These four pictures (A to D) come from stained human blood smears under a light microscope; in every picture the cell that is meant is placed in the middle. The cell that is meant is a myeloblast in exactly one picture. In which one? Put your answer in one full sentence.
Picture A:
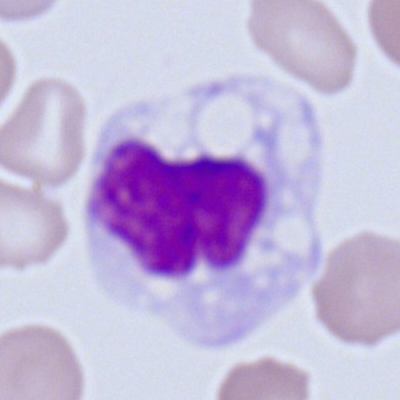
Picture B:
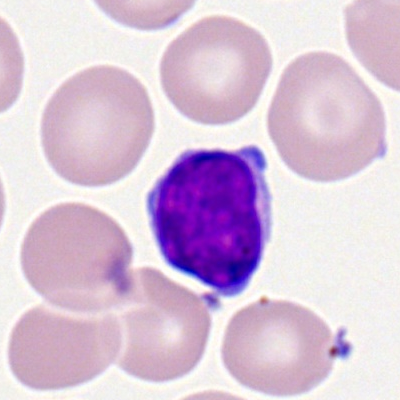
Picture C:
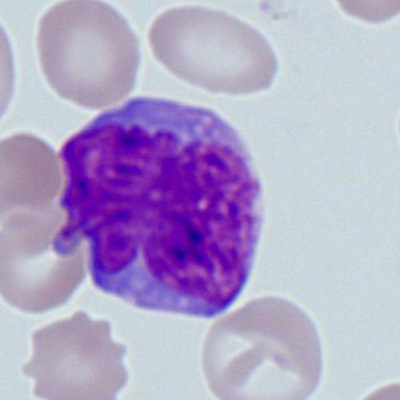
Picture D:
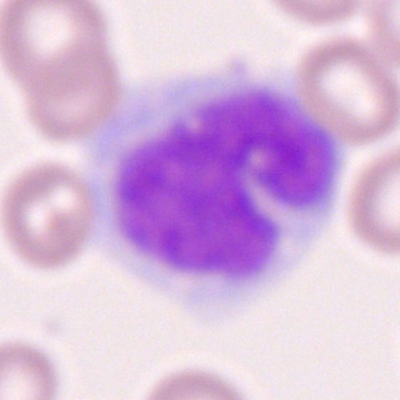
The myeloblast is the one in picture C.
